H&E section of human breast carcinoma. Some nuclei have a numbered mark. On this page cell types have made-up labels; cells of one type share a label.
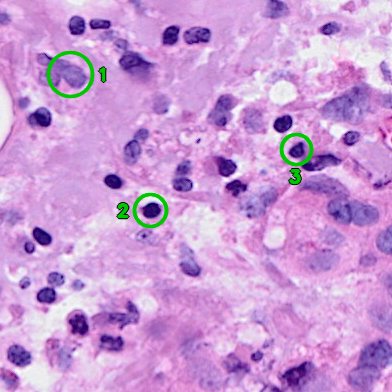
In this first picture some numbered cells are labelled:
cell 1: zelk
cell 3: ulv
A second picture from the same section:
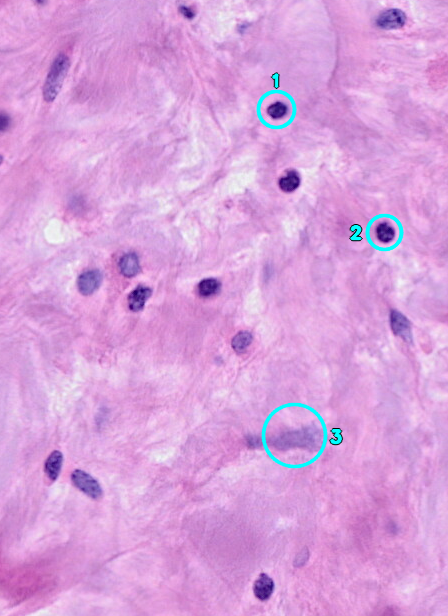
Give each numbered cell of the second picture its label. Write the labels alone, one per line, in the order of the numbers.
ulv
ulv
zelk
